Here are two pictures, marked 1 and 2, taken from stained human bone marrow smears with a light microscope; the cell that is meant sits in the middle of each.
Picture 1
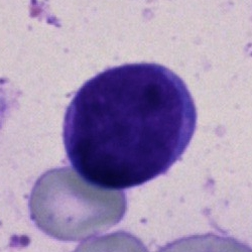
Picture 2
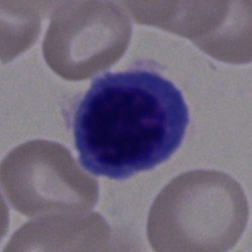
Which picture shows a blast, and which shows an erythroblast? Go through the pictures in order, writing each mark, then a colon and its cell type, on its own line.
1: blast
2: erythroblast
